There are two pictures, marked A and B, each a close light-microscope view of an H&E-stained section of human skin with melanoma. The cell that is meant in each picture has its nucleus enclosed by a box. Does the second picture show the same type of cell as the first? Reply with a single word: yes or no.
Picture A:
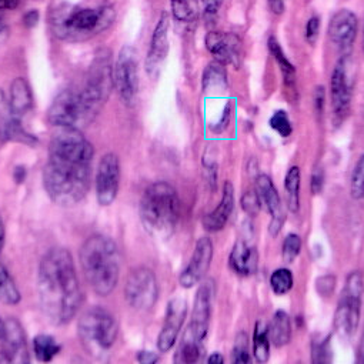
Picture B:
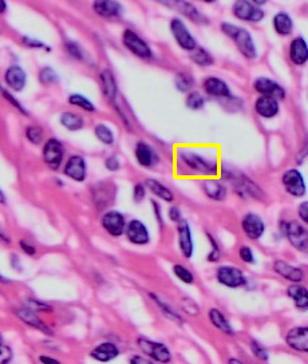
yes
